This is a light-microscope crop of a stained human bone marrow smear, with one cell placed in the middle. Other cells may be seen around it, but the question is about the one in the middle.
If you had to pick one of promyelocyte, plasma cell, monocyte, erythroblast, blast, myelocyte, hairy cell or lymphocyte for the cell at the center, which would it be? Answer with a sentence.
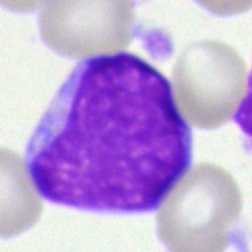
Located at the centre of the crop is a blast.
